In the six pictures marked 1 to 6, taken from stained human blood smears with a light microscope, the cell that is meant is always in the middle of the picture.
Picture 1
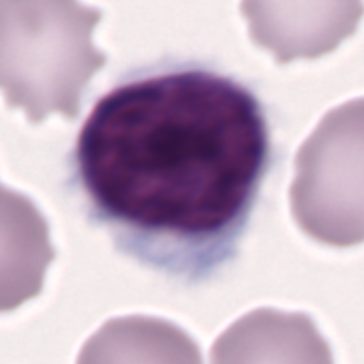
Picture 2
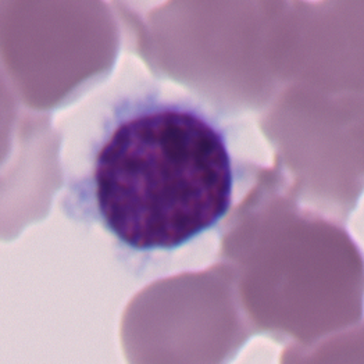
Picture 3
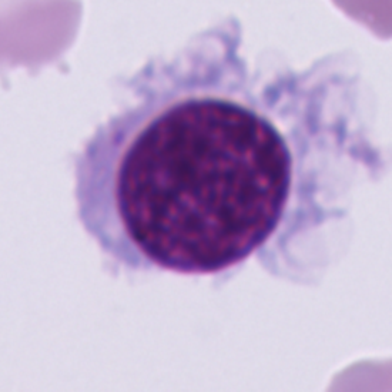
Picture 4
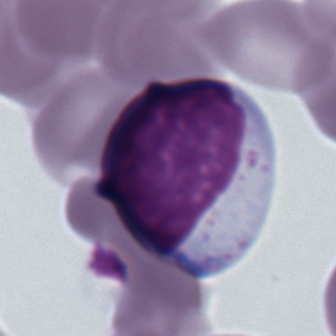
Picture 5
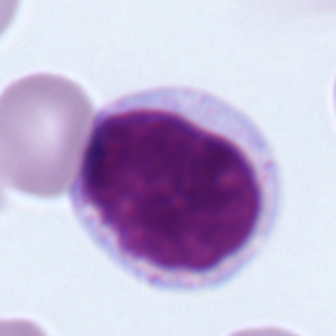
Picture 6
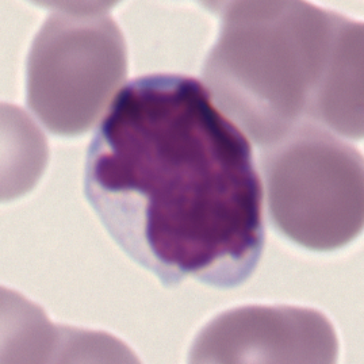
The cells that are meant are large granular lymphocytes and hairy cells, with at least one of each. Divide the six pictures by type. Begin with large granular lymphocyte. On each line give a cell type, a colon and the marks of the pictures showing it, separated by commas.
large granular lymphocyte: 4, 5, 6
hairy cell: 1, 2, 3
